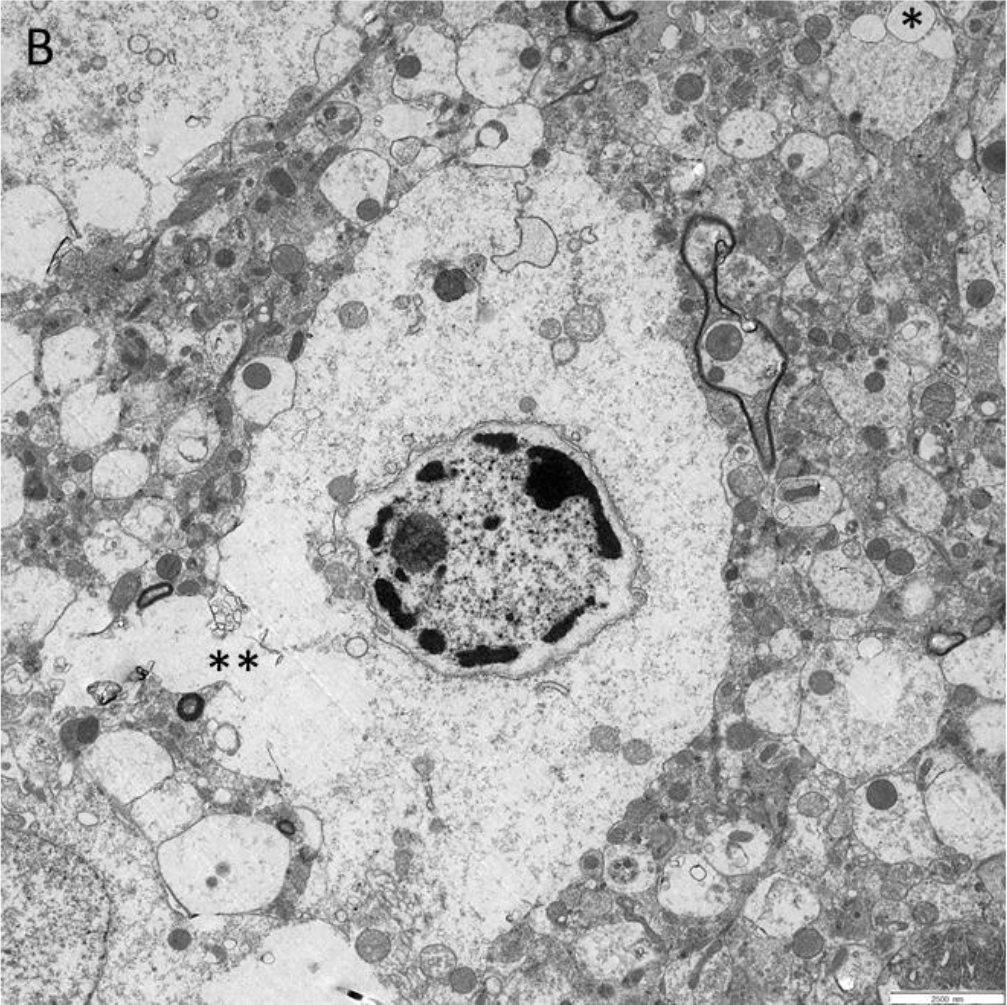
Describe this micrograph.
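Near the centre lies a rounded nucleus whose dark, clumped chromatin hugs the nuclear envelope, with a darker nucleolus inside. Around it is a broad, pale, watery cytoplasm with few organelles, and on one side this pale area opens into the neighbouring tissue where the bounding membrane seems broken, with loose membrane fragments nearby. The surrounding neuropil is crowded with rounded, pale, membrane-bound vacuoles of many sizes, between which lie dark mitochondria and a few dark-ringed myelinated profiles.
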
